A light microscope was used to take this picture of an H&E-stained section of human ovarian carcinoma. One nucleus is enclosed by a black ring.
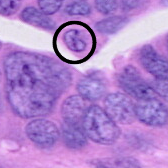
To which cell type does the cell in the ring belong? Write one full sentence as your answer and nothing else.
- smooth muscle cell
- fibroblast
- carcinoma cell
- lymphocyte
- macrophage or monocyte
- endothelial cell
In this tissue section, the cell in the ring is to be classed as a macrophage or monocyte.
